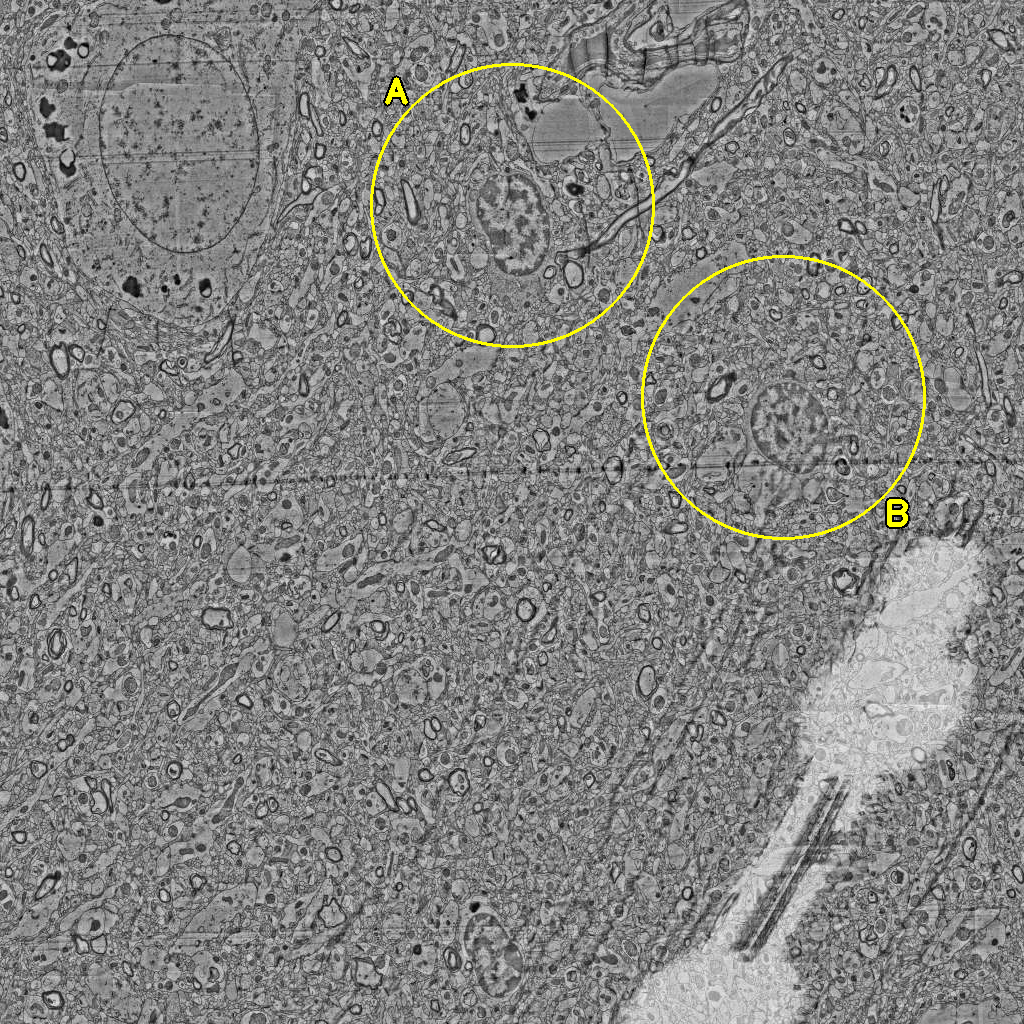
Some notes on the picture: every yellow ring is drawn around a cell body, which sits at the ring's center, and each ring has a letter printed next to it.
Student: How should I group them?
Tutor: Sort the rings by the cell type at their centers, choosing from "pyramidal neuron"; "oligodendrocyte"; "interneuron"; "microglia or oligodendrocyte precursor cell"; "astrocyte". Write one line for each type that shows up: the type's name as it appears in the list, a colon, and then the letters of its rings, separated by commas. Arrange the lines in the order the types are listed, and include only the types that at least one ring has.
oligodendrocyte: A, B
